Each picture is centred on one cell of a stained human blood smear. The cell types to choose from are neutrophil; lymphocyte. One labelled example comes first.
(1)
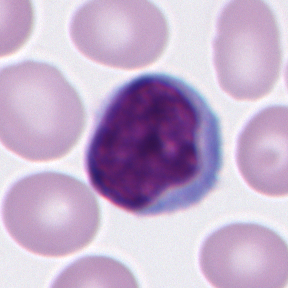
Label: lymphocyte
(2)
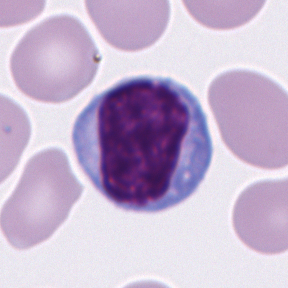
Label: lymphocyte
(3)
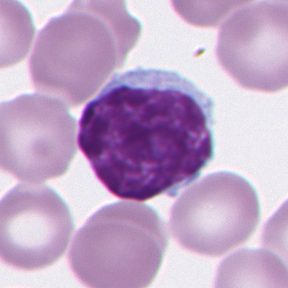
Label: lymphocyte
